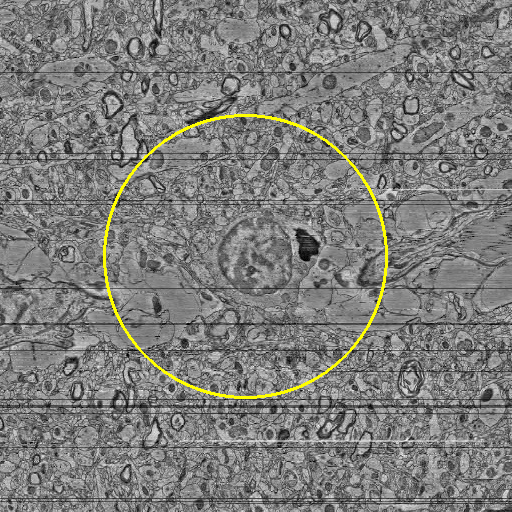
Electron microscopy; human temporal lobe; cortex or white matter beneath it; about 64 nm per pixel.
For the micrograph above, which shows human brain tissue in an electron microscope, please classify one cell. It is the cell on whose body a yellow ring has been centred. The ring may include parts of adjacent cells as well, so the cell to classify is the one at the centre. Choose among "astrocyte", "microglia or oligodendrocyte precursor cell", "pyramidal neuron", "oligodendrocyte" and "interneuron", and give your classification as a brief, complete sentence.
I classify this cell as an oligodendrocyte.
